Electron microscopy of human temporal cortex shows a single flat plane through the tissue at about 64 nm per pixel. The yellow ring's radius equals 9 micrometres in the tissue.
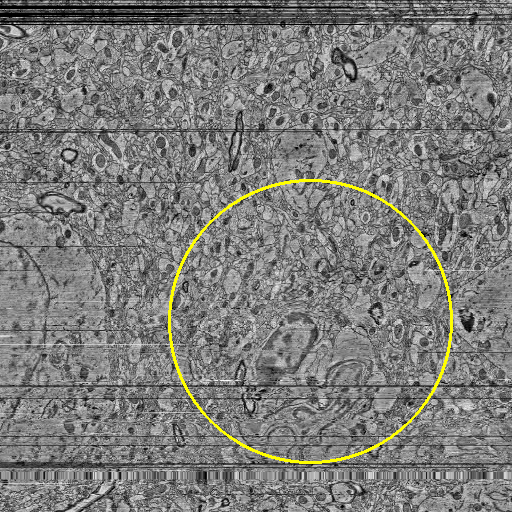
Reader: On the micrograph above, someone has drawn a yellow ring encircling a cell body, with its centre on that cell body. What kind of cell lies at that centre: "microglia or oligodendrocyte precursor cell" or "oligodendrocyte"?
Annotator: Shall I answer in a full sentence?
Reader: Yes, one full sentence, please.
Here a microglial cell or oligodendrocyte precursor cell sits at the centre of the yellow ring drawn on the micrograph.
